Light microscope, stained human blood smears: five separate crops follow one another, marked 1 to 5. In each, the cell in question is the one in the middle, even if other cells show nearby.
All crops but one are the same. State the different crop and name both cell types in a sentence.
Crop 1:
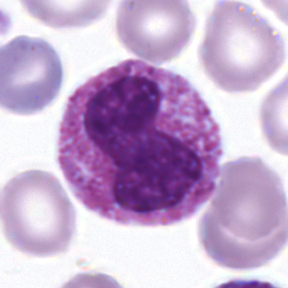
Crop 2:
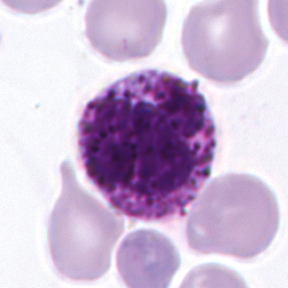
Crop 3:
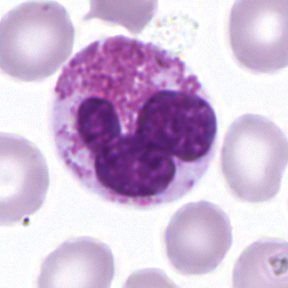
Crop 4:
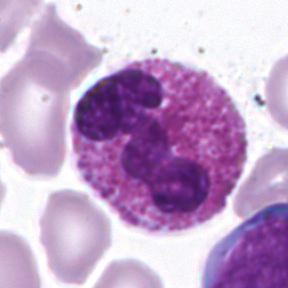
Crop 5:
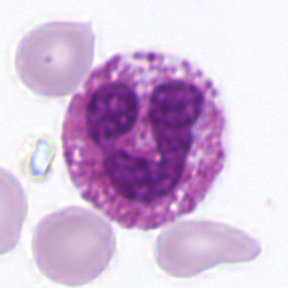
What sets crop 2 apart is that it shows a basophil, while the others show eosinophils.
